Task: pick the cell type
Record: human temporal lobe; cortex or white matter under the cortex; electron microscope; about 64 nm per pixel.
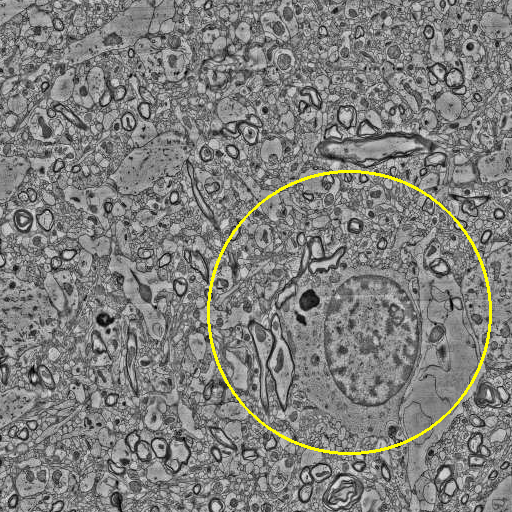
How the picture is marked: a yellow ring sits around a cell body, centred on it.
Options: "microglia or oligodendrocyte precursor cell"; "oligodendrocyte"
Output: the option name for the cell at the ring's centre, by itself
oligodendrocyte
